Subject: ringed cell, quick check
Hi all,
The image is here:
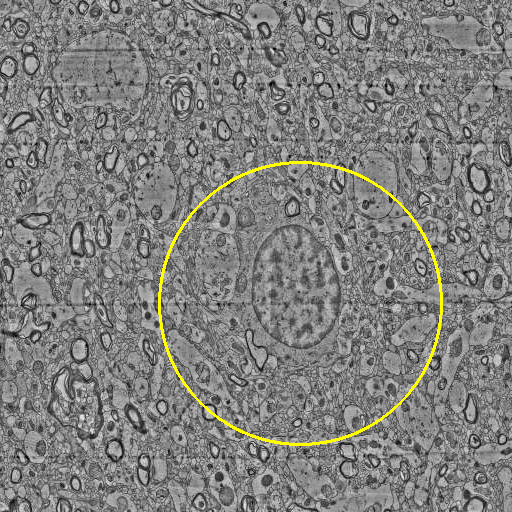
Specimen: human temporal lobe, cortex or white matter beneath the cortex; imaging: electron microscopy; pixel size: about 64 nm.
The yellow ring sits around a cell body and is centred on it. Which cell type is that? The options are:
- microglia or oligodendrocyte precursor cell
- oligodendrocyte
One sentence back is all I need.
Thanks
That ringed cell is an oligodendrocyte.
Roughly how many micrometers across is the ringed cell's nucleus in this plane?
The ringed cell's nucleus is about 8 micrometres long and 6 micrometres wide in this plane.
